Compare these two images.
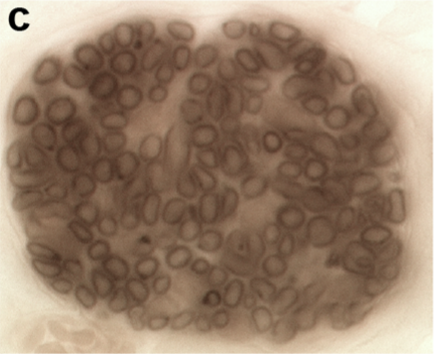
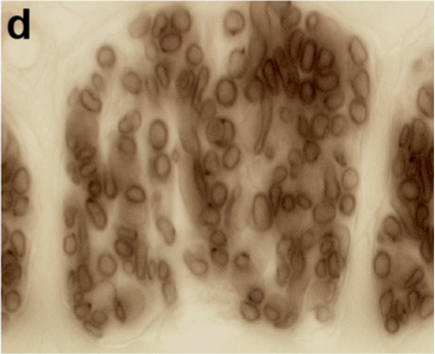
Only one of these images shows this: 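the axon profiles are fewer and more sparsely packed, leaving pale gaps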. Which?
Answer: The second image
